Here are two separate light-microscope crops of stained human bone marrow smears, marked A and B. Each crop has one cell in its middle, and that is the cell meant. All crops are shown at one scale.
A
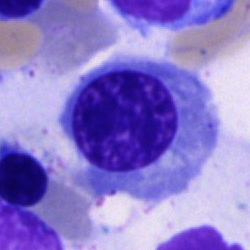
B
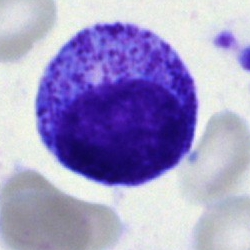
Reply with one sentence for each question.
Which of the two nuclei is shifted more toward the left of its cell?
Seen within its cell, the nucleus in crop A lies further toward the left.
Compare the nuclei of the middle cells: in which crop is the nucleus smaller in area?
The nucleus in crop A is smaller; the one in crop B has about 1.5 times its area.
